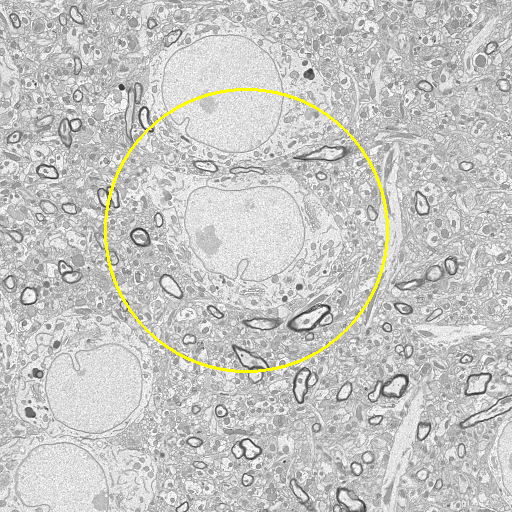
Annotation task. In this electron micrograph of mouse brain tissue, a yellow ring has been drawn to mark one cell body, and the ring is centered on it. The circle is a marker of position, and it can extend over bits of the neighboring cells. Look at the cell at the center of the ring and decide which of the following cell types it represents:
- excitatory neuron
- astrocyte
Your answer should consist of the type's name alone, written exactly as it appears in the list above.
excitatory neuron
